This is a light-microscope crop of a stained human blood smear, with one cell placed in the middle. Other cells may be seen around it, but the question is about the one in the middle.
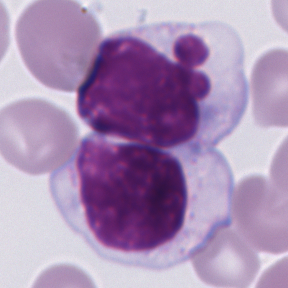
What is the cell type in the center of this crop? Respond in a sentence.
The cell featured at the centre of this crop is a large granular lymphocyte.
